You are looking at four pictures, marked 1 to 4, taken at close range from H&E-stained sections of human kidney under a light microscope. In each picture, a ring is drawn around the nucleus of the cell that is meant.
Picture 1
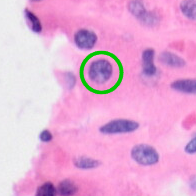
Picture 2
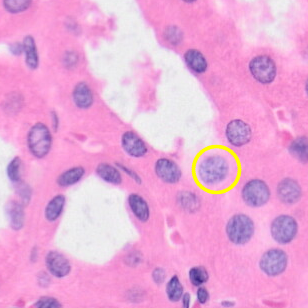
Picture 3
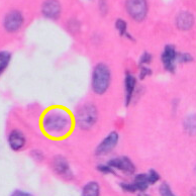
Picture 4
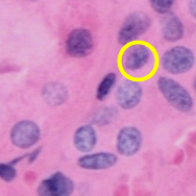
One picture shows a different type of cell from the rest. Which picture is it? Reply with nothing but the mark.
4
